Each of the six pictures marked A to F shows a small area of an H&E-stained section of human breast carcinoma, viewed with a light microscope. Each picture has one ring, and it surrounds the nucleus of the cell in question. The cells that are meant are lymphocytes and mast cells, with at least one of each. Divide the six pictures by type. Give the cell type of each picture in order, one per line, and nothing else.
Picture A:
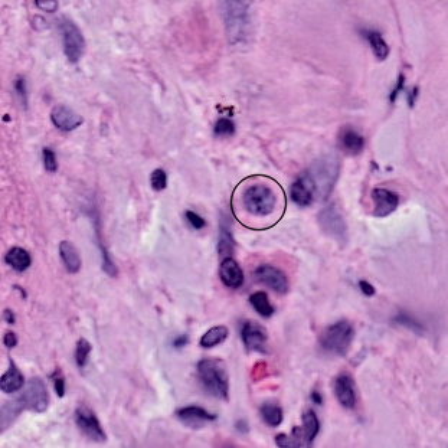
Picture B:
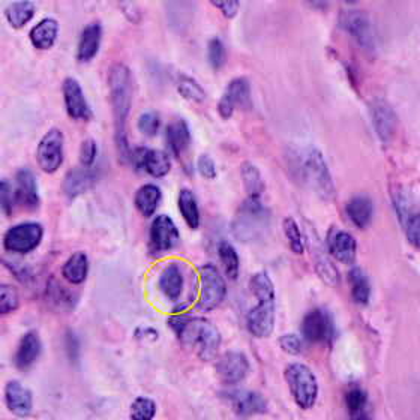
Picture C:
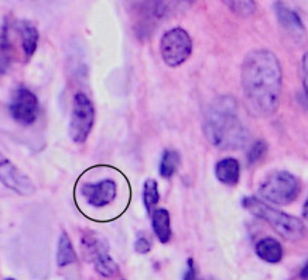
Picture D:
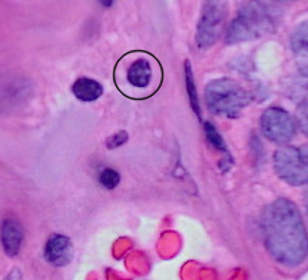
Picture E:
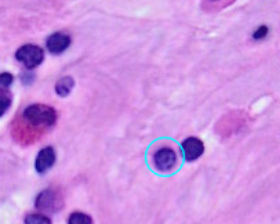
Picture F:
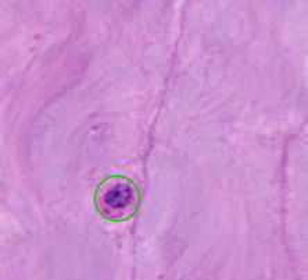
mast cell
lymphocyte
lymphocyte
lymphocyte
lymphocyte
mast cell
